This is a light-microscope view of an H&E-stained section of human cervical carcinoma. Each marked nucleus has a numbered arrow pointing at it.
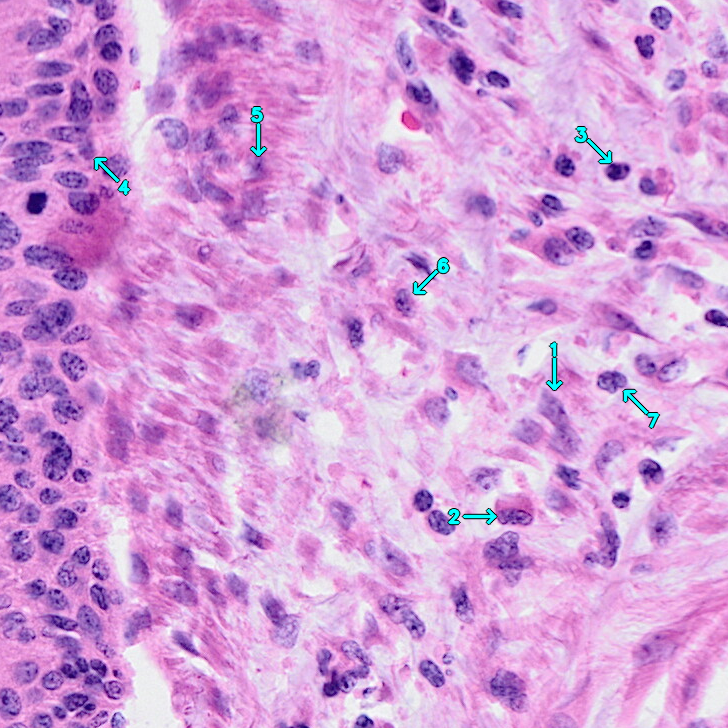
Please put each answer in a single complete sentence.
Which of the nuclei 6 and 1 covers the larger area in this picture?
At about 1.5 times the area of nucleus 6, nucleus 1 is the larger of the two.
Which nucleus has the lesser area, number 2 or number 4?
It is nucleus 4; nucleus 2 has about 2 times its area.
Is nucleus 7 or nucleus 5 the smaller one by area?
The smaller nucleus is 5, and 7 covers roughly 1.5 times its area.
